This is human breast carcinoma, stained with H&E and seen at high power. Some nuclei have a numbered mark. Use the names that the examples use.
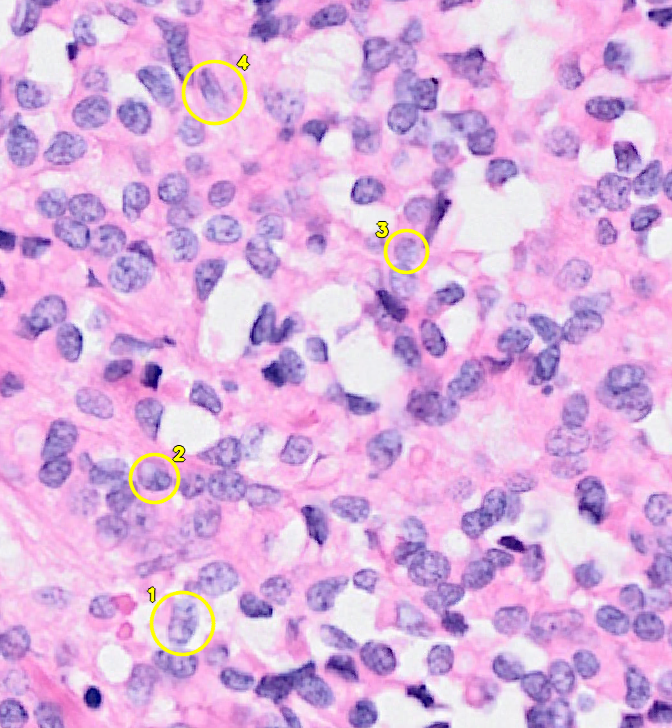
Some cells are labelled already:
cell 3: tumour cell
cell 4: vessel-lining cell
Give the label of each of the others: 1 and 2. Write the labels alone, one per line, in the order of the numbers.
tumour cell
tumour cell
